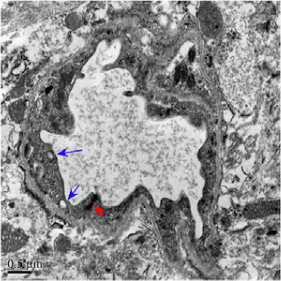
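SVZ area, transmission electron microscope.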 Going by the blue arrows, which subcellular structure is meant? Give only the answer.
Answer: Pinocytotic vesicles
